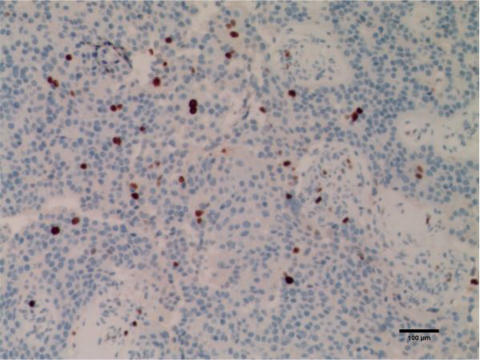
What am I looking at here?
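Sheets of closely packed tumor cells with round, uniform blue nuclei fill the field, divided by faint pale stromal septa. The cells have scant pale cytoplasm and indistinct borders, and the architecture is solid with occasional small spaces.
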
